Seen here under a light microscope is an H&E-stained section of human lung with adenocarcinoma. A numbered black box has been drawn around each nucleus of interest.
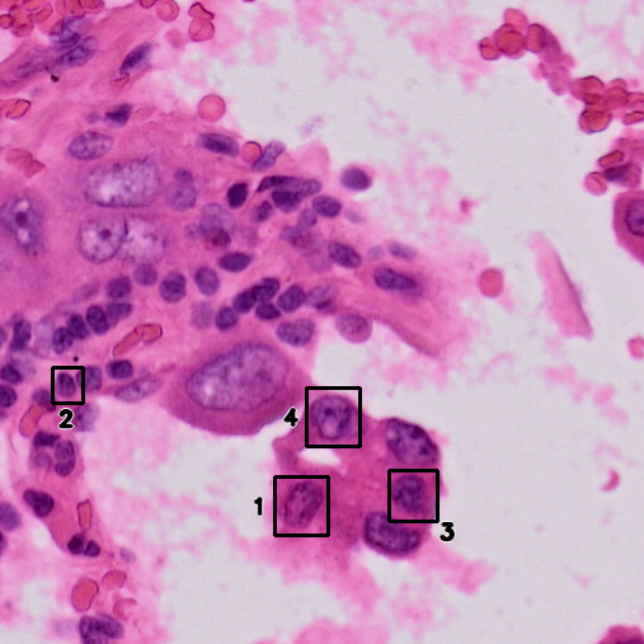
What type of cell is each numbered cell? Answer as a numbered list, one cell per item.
1. carcinoma cell
2. lymphocyte
3. carcinoma cell
4. carcinoma cell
